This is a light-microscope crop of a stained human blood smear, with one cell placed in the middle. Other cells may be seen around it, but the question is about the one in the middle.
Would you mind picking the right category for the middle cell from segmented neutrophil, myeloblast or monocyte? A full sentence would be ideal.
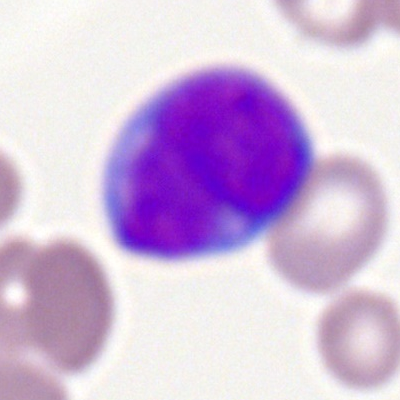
The cell under consideration, at the middle of the crop, is a myeloblast.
